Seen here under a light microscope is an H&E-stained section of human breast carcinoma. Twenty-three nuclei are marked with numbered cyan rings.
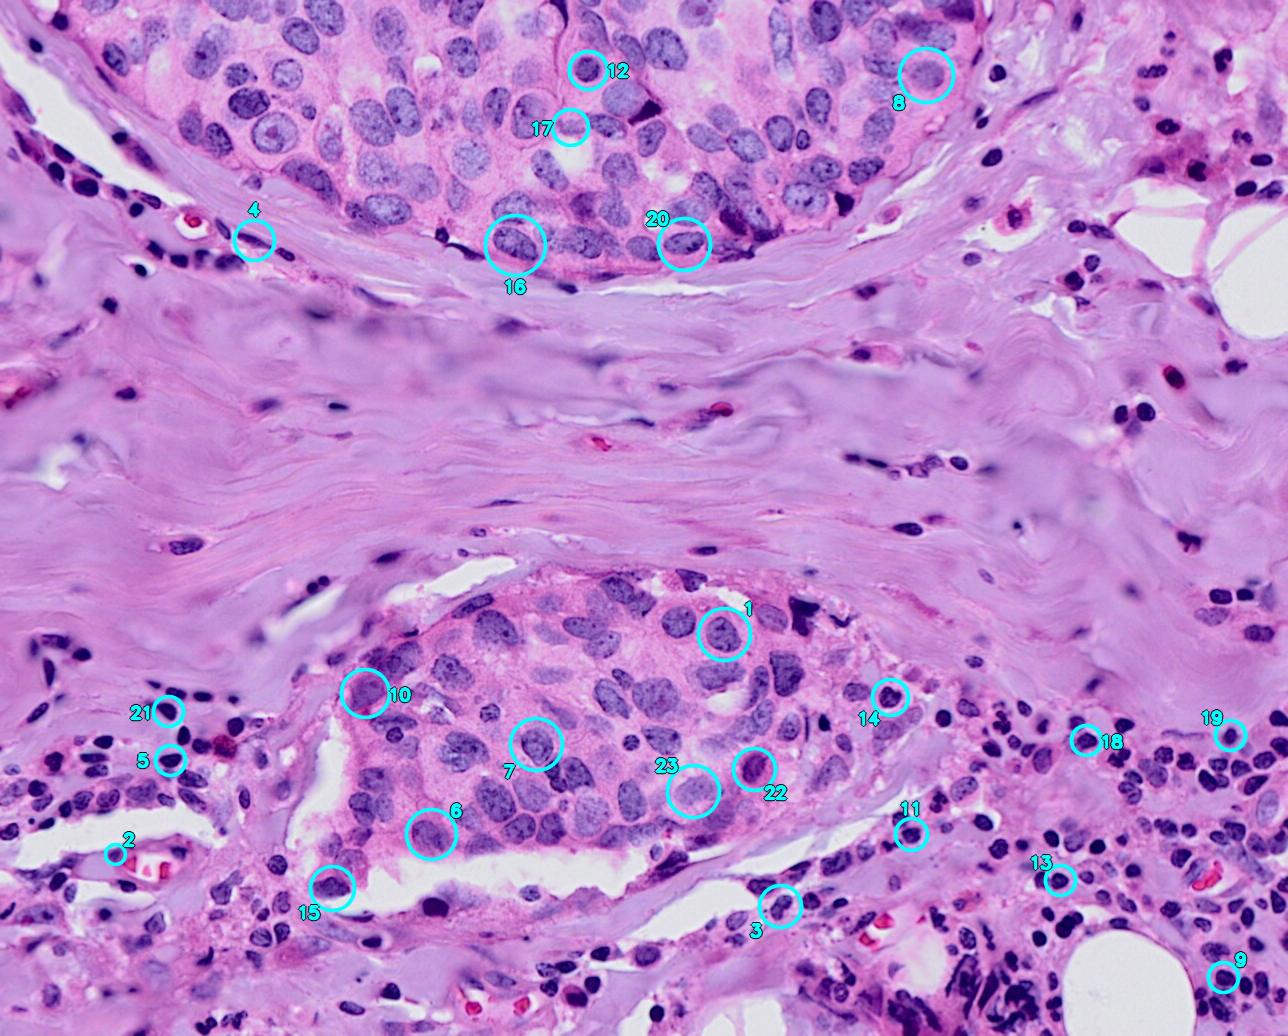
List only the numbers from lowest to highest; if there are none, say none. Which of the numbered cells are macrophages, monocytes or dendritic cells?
none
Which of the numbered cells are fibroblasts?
4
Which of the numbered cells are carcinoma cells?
1, 6, 7, 8, 10, 12, 15, 16, 17, 20, 22, 23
